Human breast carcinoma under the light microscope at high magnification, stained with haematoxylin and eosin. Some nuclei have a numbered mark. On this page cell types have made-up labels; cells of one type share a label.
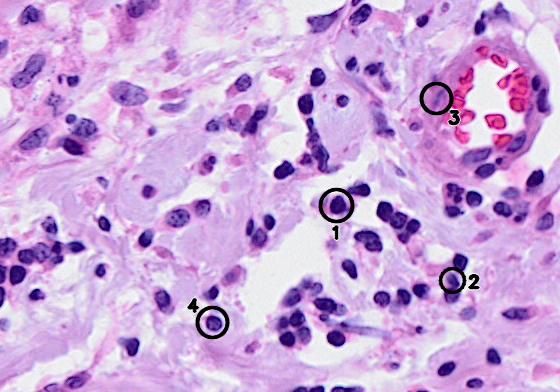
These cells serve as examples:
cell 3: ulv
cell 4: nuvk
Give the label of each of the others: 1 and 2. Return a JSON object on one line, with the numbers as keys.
{"1": "nuvk", "2": "nuvk"}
